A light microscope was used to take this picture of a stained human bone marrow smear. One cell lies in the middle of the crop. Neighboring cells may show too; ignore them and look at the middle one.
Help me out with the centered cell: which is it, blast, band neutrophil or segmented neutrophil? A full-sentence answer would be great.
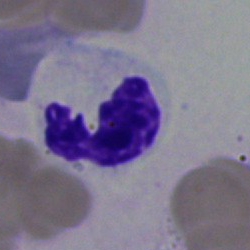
On this slide crop, the central cell is a segmented neutrophil.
